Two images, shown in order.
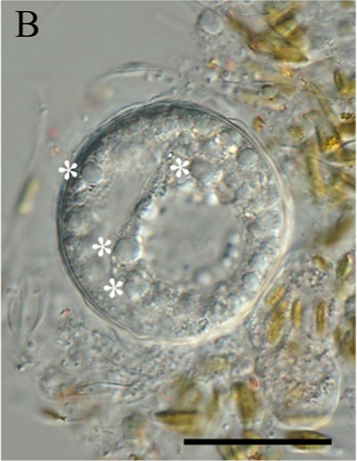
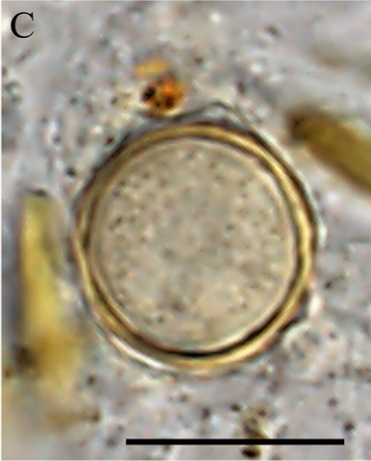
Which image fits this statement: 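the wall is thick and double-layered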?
The second image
